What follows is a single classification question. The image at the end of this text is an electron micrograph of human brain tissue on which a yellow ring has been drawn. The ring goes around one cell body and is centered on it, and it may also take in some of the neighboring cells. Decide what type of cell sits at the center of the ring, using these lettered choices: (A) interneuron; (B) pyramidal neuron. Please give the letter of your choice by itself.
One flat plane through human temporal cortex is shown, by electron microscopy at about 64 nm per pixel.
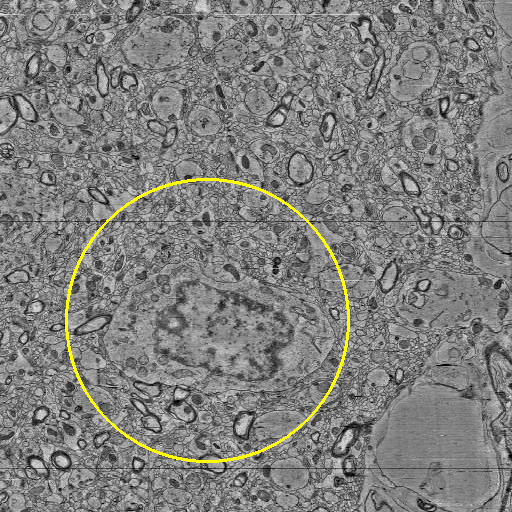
A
